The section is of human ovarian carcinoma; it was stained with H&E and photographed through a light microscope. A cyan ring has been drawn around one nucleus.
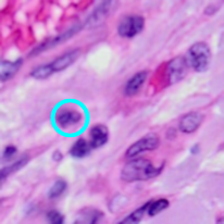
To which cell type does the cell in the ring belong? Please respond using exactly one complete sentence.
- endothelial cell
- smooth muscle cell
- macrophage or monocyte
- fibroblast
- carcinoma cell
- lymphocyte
Cell type answer for this item: the cell in the ring is a lymphocyte.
